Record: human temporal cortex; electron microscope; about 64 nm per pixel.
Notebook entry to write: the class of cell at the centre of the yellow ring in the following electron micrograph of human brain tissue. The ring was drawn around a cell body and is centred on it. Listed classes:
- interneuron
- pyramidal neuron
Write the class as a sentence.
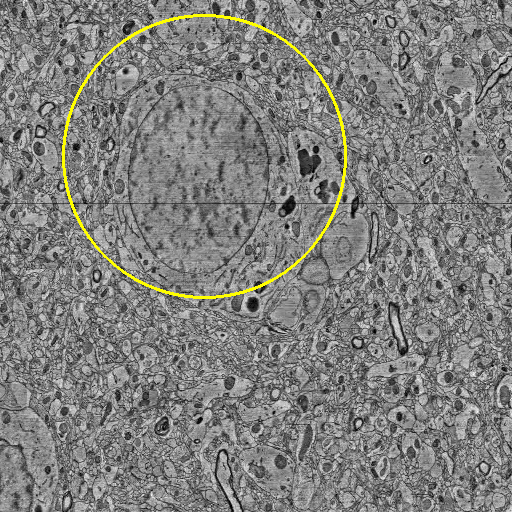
The yellow ring sits on a pyramidal neuron.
